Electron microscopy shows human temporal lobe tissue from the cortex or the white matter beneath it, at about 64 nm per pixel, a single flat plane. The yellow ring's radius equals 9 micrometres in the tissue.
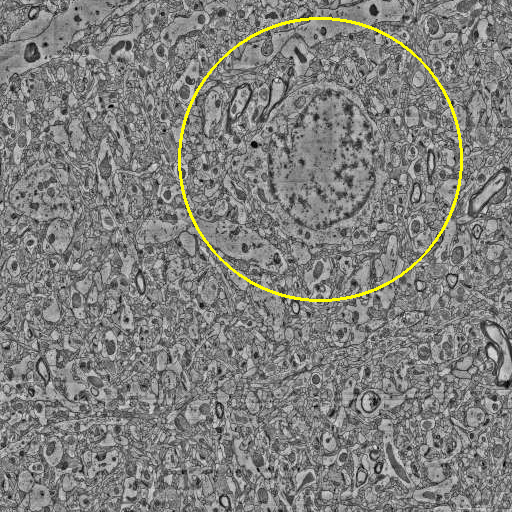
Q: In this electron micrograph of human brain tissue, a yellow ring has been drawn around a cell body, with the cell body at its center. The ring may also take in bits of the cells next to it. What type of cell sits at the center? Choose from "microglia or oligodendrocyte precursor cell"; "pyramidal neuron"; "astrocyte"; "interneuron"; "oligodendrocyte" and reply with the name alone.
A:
interneuron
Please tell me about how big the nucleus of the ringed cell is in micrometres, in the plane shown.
In this plane, roughly 9 by 7 micrometres.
